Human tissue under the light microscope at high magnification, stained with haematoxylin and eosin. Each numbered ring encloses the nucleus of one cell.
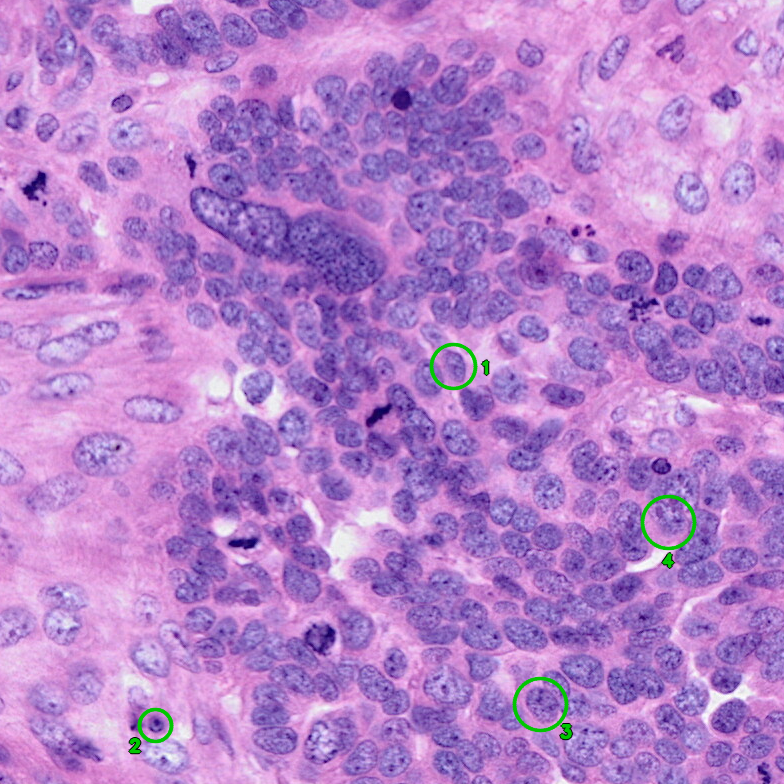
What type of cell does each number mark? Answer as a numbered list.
1. carcinoma cell
2. lymphocyte
3. carcinoma cell
4. carcinoma cell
